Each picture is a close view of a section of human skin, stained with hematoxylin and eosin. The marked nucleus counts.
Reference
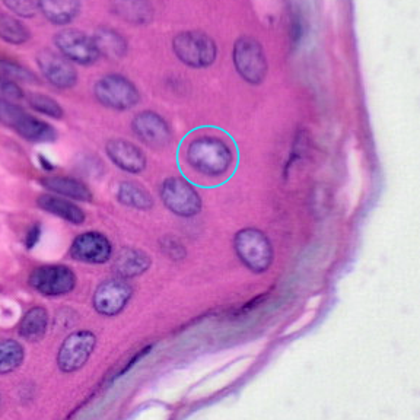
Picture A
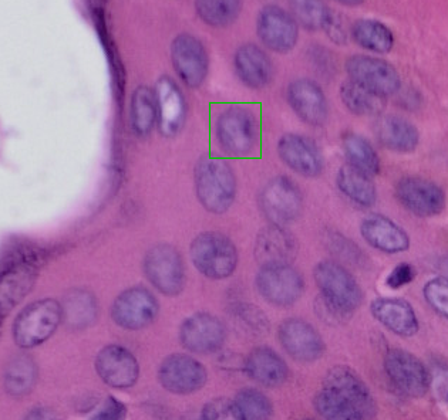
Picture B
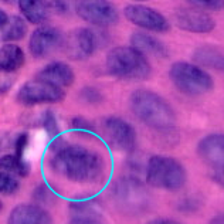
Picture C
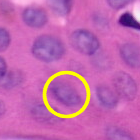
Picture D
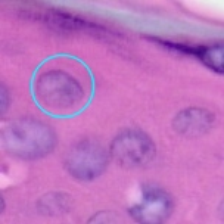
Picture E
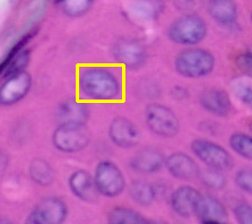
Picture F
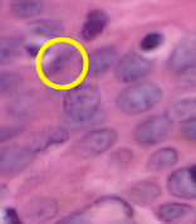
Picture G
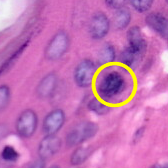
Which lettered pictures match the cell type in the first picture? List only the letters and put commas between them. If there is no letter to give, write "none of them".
A, C, D, E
